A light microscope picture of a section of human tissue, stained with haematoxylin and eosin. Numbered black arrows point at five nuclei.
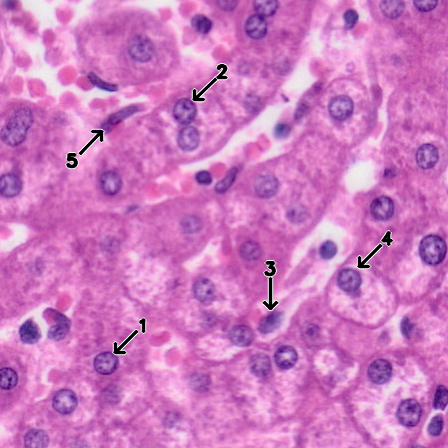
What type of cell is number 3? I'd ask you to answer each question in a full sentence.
Cell 3, as marked in the section, is a Kupffer cell.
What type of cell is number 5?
Number 5 is placed on a Kupffer cell here.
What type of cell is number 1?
The label 1 in this section denotes a hepatocyte.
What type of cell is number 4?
The cell referenced by the number 4 is a hepatocyte in this field.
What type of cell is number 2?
The one labeled 2 is a hepatocyte, to put it simply.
